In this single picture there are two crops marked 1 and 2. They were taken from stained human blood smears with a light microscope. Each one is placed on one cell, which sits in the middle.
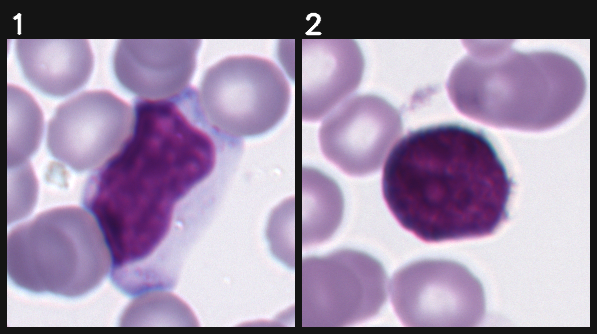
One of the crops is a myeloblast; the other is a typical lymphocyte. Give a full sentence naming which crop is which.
Recognised in crop 1 is a typical lymphocyte, and recognised in crop 2 is a myeloblast.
